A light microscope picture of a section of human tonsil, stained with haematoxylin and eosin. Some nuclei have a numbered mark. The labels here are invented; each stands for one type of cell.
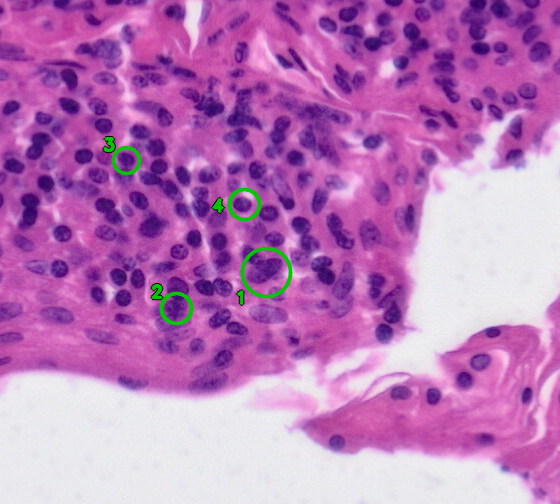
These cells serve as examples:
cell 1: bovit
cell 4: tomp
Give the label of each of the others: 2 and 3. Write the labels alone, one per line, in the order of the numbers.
bovit
tomp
